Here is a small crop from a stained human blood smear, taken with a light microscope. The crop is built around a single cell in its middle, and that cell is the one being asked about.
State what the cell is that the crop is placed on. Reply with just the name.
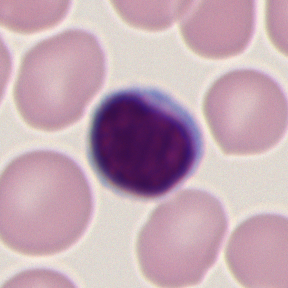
lymphocyte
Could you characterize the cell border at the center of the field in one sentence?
Edge check done: smooth outline, no projections present.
